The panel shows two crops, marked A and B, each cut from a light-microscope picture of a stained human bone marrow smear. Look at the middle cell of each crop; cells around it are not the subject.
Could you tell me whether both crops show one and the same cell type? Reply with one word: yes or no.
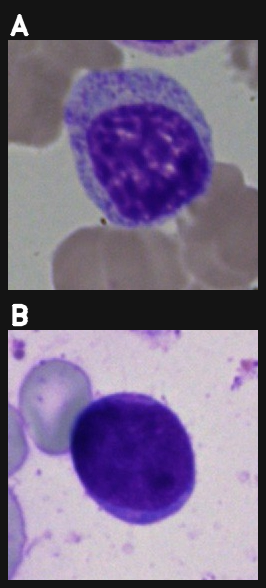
no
